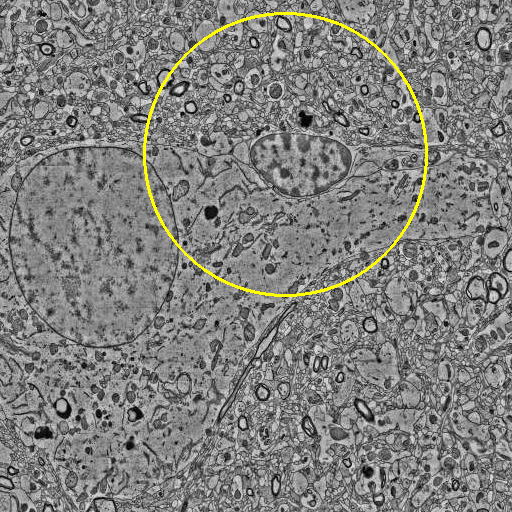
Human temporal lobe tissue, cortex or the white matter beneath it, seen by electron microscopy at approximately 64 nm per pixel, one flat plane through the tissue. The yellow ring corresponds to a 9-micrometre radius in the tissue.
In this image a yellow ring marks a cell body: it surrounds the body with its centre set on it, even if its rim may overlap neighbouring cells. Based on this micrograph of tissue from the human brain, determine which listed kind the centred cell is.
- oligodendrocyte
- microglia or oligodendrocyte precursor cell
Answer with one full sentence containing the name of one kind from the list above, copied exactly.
It is a microglial cell or oligodendrocyte precursor cell whose body the yellow ring encloses at its centre.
